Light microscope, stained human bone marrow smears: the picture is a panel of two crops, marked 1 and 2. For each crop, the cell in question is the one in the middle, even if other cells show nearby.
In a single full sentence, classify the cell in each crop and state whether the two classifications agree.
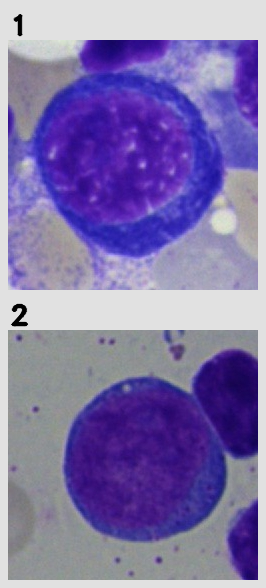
Yes, both crops have proerythroblasts at the centre.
